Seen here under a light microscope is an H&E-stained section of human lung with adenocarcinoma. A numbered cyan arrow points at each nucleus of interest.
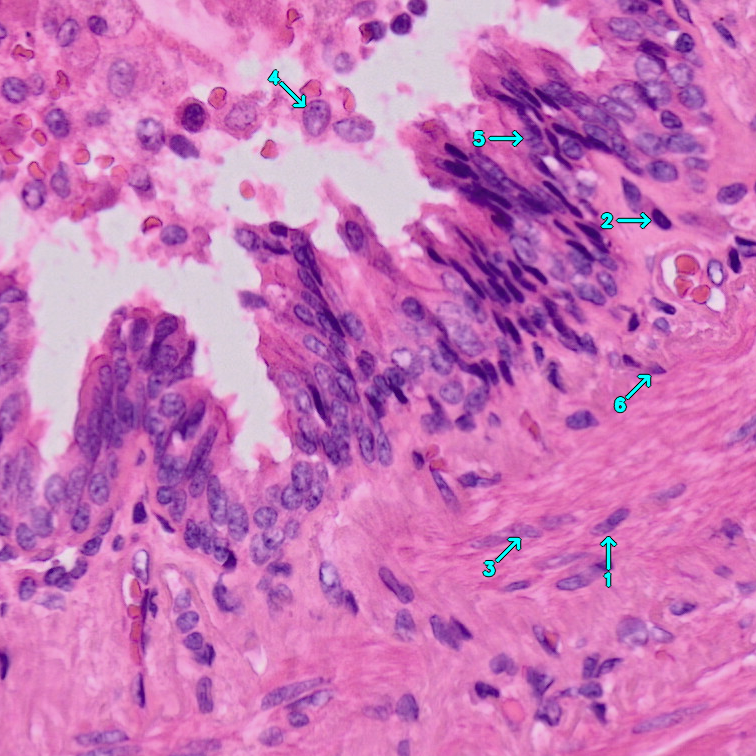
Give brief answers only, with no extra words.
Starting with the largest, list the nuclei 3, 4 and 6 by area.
4, 3, 6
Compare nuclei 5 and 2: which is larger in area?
5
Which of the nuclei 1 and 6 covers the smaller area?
6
